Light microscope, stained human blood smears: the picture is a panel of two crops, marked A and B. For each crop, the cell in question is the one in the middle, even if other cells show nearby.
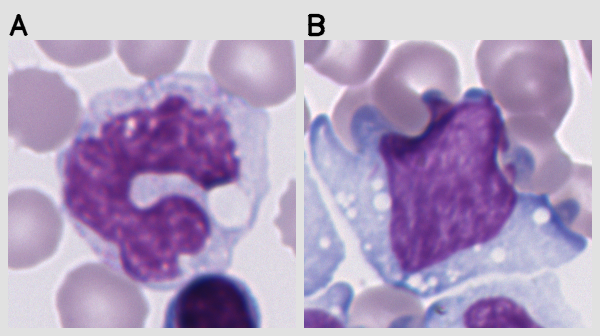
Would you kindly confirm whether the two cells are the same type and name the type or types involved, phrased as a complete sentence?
No, mark crop A as a monocyte and crop B as a blast.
